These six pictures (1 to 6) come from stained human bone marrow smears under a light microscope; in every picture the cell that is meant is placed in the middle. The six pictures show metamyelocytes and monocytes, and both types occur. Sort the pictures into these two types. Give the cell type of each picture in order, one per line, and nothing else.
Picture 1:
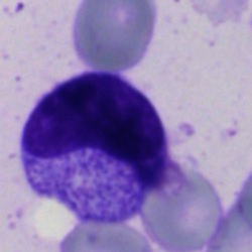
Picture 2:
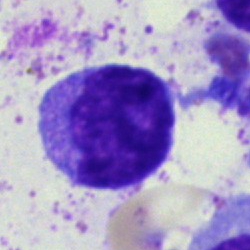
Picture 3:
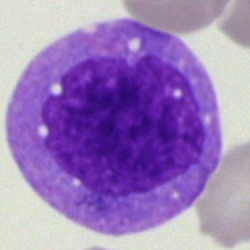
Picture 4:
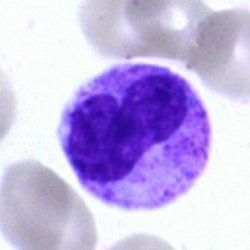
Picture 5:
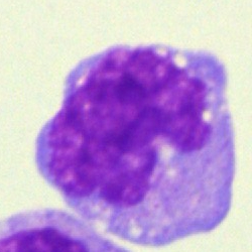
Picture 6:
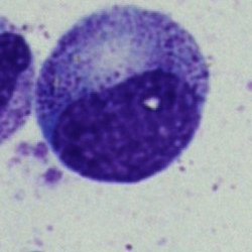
metamyelocyte
monocyte
monocyte
metamyelocyte
monocyte
metamyelocyte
